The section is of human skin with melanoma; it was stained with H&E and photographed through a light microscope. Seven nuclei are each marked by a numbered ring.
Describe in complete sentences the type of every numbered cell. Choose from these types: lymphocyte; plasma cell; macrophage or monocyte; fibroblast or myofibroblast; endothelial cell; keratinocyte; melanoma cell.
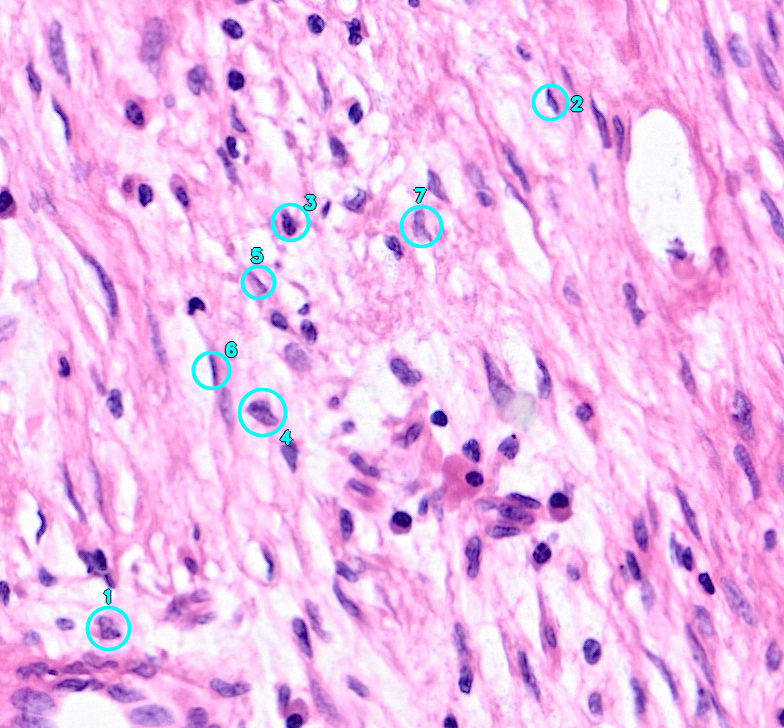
Cell 1 is a macrophage or monocyte, cell 2 is a fibroblast or myofibroblast, cell 3 is a lymphocyte, cell 4 is a macrophage or monocyte, cell 5 is a fibroblast or myofibroblast, cell 6 is a fibroblast or myofibroblast and cell 7 is a fibroblast or myofibroblast.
